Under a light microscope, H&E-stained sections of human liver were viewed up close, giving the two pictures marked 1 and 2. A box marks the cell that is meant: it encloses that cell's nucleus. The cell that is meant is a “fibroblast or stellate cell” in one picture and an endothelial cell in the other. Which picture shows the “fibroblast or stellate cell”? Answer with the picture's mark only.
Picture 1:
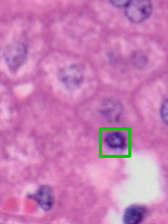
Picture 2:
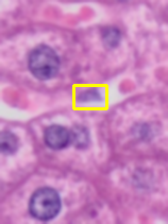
1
